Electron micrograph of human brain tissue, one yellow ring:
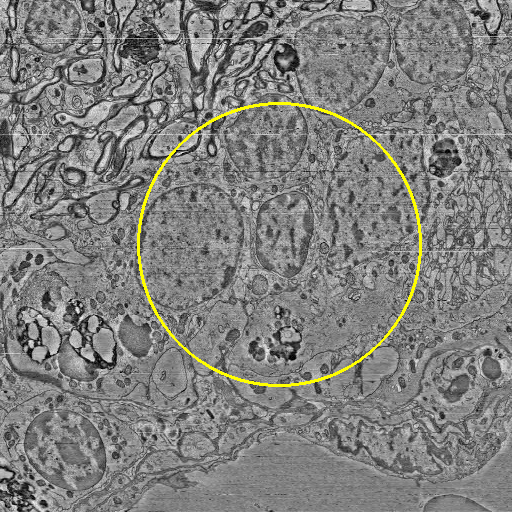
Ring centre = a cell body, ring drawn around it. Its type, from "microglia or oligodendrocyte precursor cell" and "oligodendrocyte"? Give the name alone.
microglia or oligodendrocyte precursor cell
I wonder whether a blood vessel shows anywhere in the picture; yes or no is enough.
Yes.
